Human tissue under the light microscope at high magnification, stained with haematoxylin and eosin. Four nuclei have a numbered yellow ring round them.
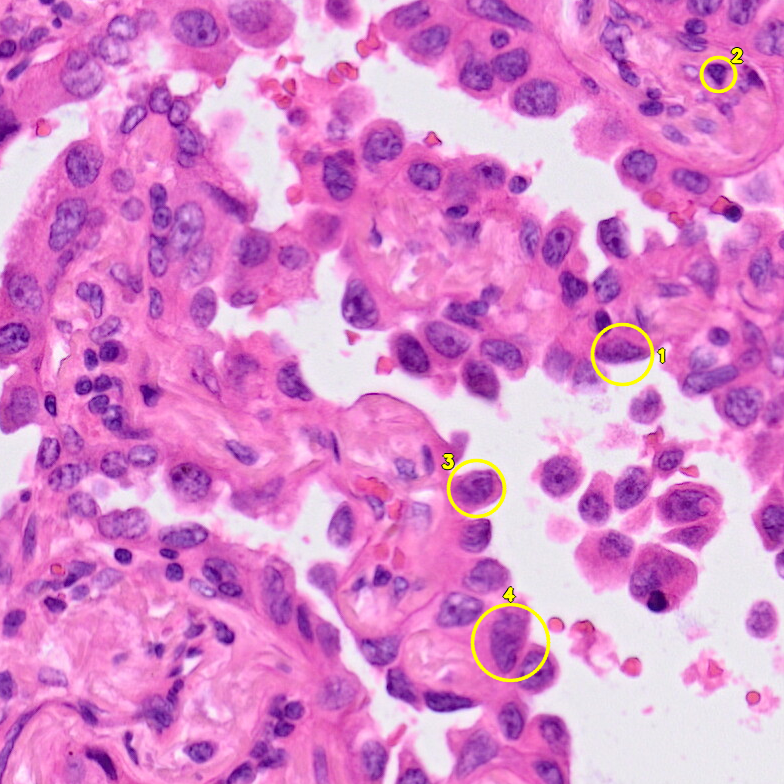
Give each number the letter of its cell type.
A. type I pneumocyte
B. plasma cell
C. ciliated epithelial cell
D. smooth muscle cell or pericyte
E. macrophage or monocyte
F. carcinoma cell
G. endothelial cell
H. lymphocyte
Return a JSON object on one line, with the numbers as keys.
{"1": "F", "2": "B", "3": "F", "4": "F"}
